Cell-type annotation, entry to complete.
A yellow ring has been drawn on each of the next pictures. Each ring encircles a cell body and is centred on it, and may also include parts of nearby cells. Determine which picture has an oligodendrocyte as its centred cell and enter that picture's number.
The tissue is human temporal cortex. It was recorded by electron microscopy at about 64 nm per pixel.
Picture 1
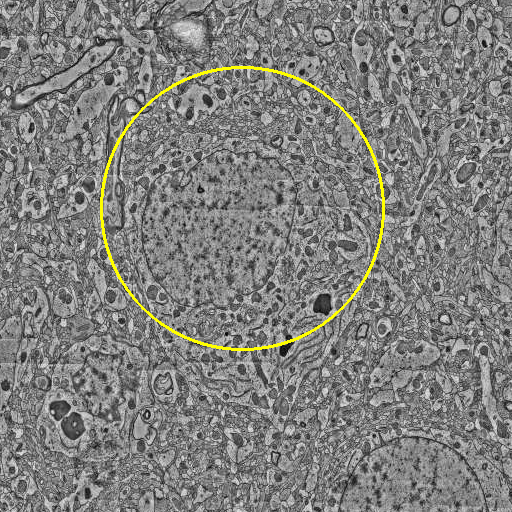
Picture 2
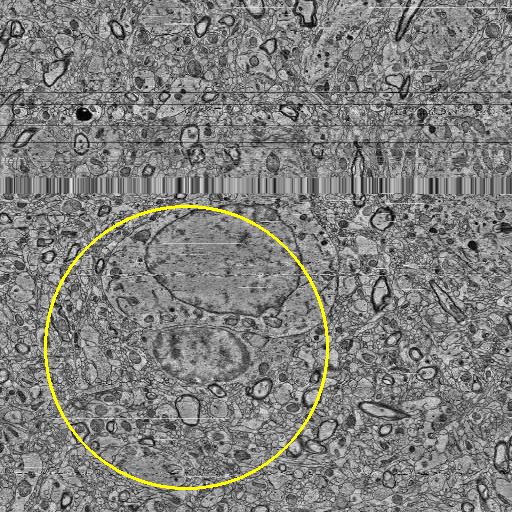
2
